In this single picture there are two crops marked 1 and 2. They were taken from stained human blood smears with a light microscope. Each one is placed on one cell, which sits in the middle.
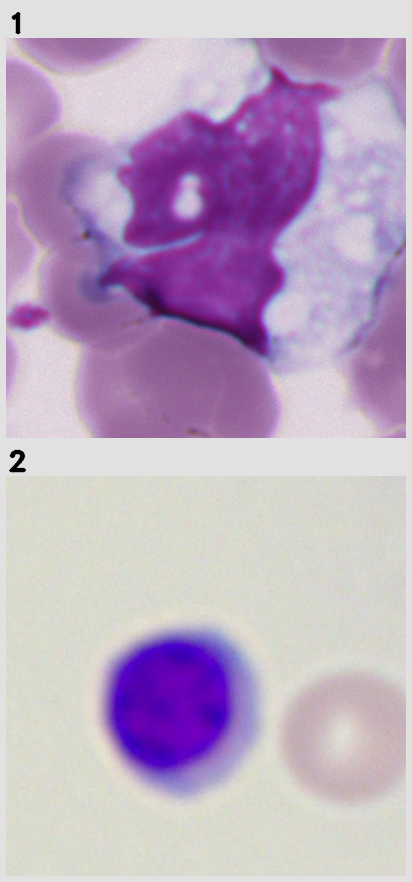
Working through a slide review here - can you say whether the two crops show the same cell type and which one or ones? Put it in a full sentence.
No, a lymphocyte is depicted in crop 2, whereas a monocyte is depicted in crop 1.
